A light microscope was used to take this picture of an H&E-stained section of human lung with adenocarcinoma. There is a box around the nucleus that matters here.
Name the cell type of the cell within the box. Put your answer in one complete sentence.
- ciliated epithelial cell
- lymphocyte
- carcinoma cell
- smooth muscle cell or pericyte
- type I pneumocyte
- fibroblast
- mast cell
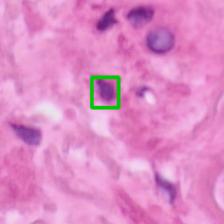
In the context of this tissue, the cell within the box is a smooth muscle cell or pericyte.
